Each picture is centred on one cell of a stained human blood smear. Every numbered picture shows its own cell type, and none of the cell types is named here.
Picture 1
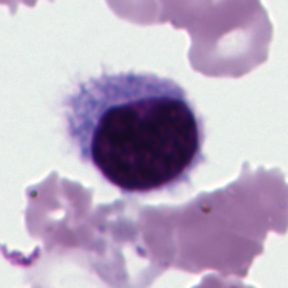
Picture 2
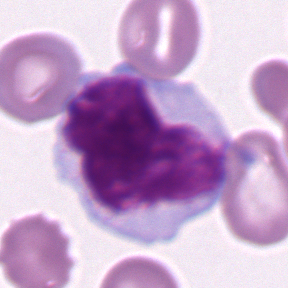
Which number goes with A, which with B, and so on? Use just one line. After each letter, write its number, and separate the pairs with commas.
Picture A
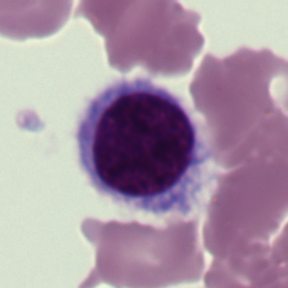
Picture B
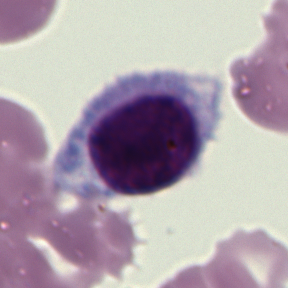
A 1, B 1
